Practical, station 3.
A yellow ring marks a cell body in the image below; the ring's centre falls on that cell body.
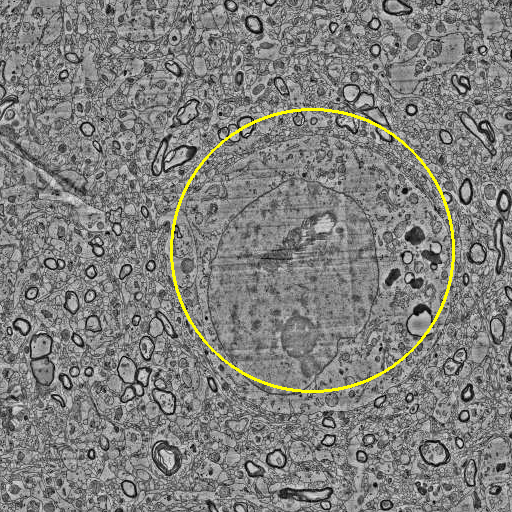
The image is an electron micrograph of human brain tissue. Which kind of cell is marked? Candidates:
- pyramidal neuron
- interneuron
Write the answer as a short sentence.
The marked cell body is that of a pyramidal neuron.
